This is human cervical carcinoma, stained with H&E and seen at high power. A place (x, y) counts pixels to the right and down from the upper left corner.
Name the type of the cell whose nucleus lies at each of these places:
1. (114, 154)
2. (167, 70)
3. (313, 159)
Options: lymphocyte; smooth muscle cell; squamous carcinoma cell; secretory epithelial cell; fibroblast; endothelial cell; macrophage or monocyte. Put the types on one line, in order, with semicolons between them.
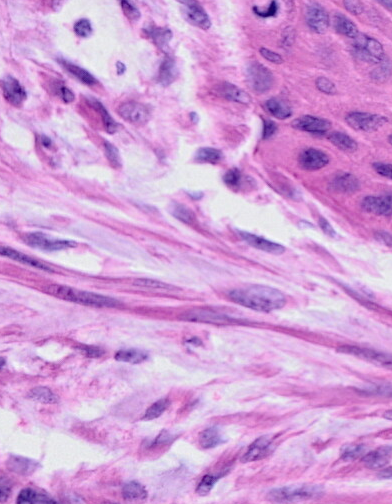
fibroblast; fibroblast; squamous carcinoma cell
